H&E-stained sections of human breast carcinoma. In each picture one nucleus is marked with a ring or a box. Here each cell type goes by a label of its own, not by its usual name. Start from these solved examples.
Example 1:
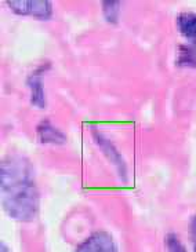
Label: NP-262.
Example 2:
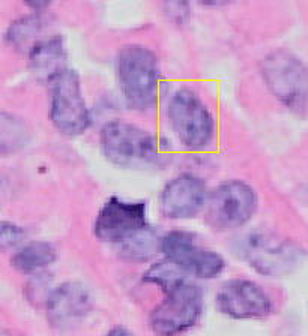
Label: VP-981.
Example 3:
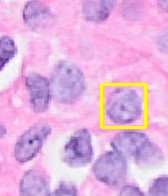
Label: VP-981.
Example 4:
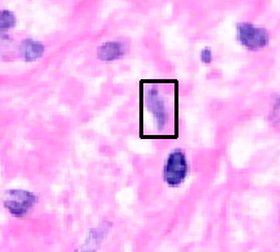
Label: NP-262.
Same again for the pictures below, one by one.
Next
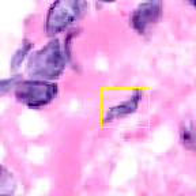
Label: NP-262.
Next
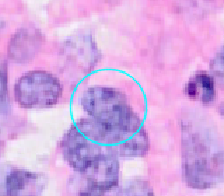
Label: VP-981.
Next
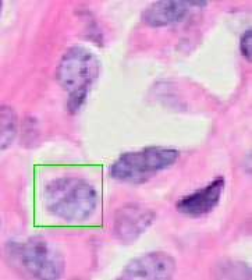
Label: VP-981.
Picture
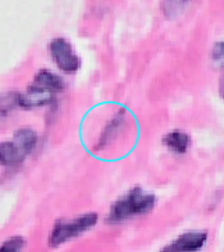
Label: NP-262.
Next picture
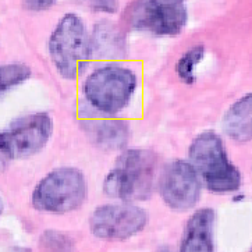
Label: VP-981.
